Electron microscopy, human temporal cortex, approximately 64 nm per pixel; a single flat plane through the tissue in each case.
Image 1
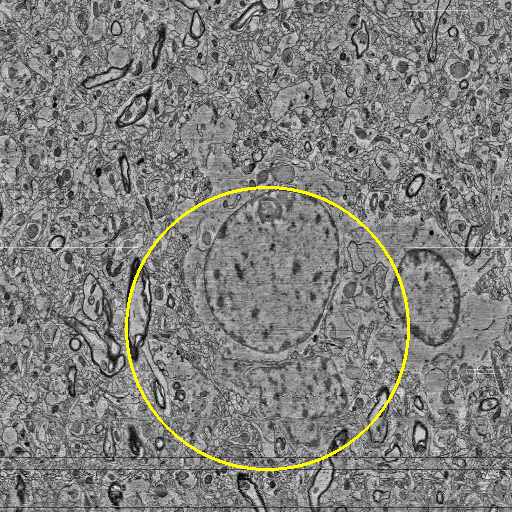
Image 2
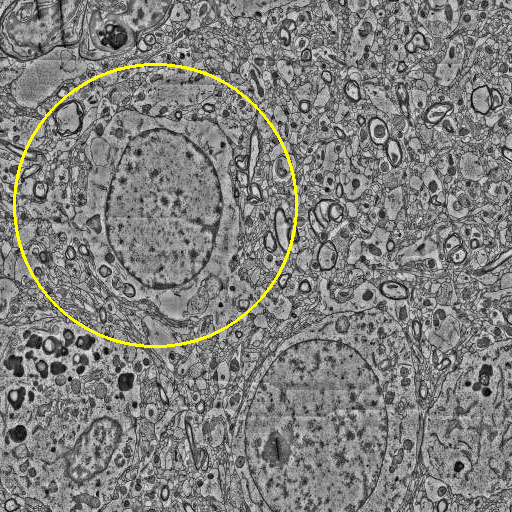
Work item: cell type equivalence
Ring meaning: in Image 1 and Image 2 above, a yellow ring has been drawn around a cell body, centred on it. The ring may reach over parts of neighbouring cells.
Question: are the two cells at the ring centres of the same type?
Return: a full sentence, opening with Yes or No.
Yes, the two centred cells are of the same type.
